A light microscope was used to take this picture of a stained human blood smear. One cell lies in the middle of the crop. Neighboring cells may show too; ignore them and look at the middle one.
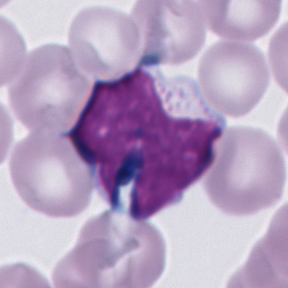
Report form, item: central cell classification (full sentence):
The middle of this crop holds a large granular lymphocyte.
